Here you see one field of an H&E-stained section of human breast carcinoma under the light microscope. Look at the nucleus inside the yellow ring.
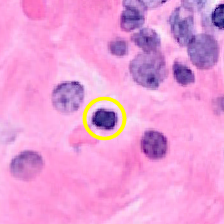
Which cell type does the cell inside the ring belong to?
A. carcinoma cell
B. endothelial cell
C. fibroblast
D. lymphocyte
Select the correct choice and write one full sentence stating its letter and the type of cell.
The right pick is option D; the cell inside the ring is a lymphocyte.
